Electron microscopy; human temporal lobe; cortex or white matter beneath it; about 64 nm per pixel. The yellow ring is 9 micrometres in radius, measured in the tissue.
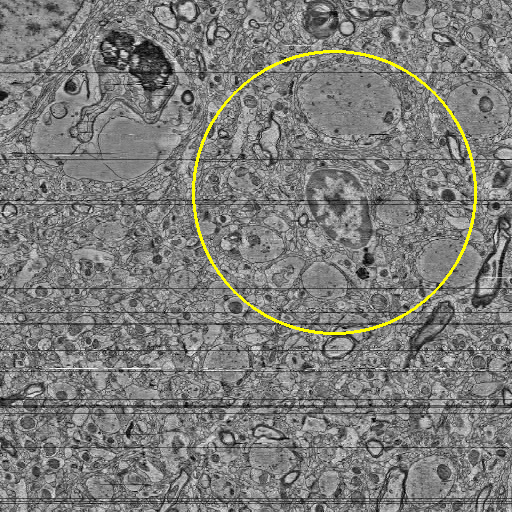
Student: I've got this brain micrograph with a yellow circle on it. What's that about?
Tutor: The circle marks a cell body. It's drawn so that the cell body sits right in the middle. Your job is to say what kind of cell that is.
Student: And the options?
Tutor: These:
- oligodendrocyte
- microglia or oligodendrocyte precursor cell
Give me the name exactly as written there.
microglia or oligodendrocyte precursor cell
